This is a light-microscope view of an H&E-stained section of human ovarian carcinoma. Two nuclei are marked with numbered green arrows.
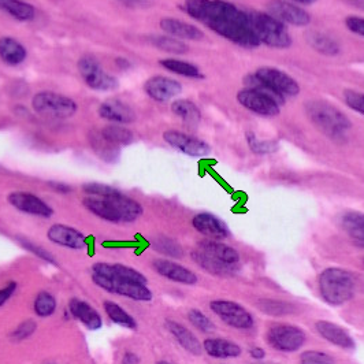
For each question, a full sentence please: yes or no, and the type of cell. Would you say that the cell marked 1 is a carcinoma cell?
Yes, so the cell at label 1 is a carcinoma cell.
